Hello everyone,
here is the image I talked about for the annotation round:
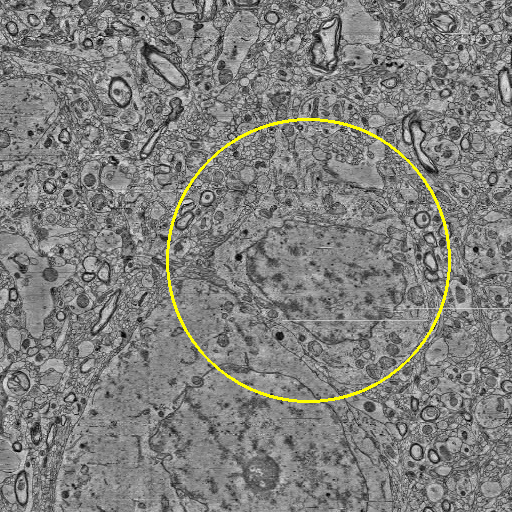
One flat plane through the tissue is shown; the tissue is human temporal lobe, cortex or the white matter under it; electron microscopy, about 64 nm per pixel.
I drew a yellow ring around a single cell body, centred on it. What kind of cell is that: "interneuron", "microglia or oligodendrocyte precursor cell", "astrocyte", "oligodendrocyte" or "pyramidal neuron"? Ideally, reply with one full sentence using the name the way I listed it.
The cell your yellow ring is centred on is an interneuron, going by your list.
